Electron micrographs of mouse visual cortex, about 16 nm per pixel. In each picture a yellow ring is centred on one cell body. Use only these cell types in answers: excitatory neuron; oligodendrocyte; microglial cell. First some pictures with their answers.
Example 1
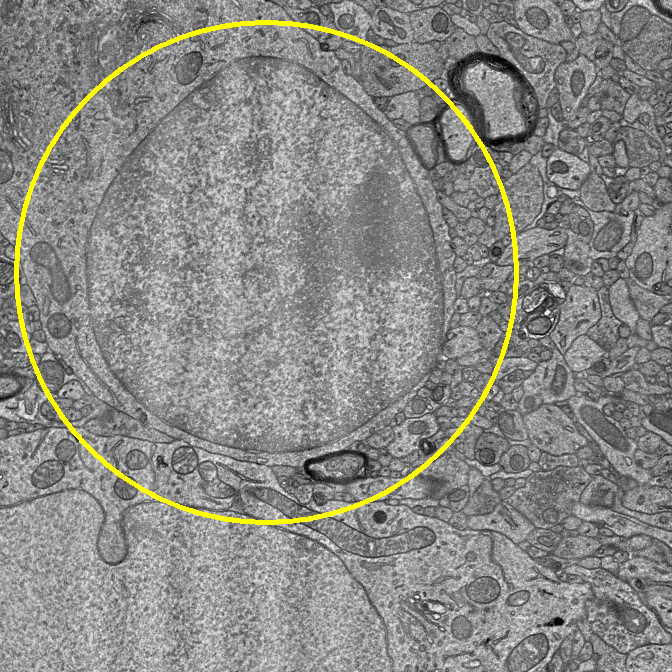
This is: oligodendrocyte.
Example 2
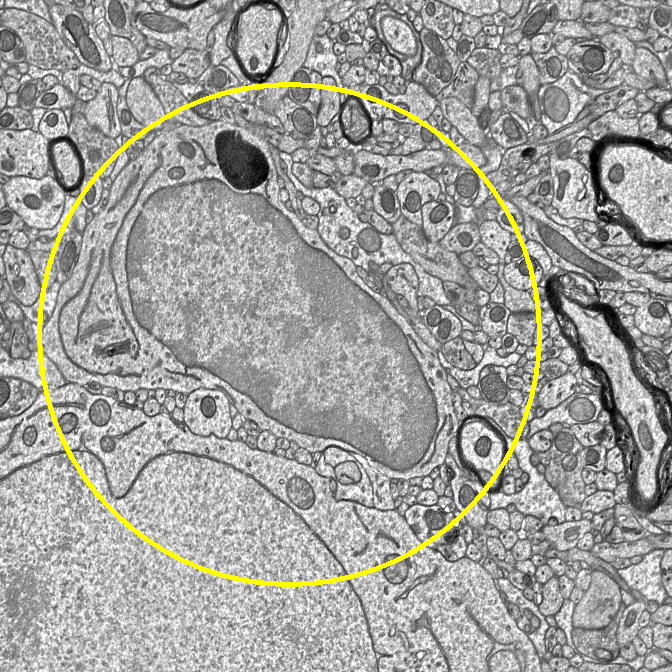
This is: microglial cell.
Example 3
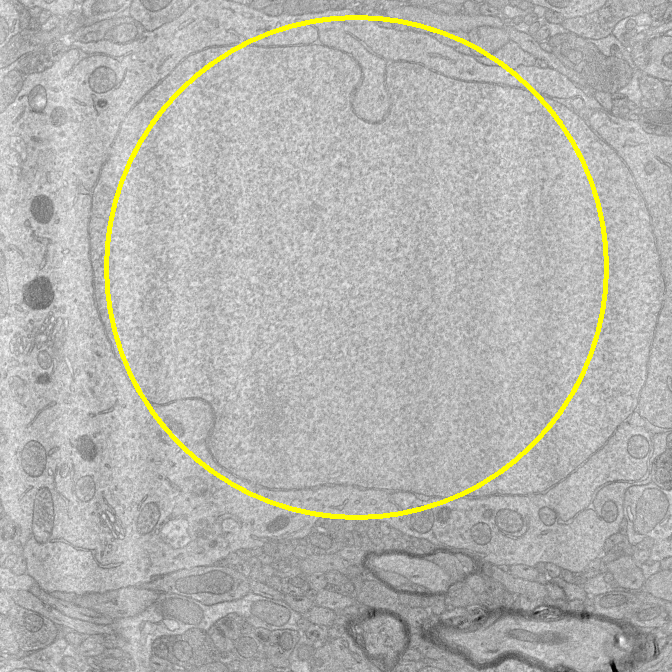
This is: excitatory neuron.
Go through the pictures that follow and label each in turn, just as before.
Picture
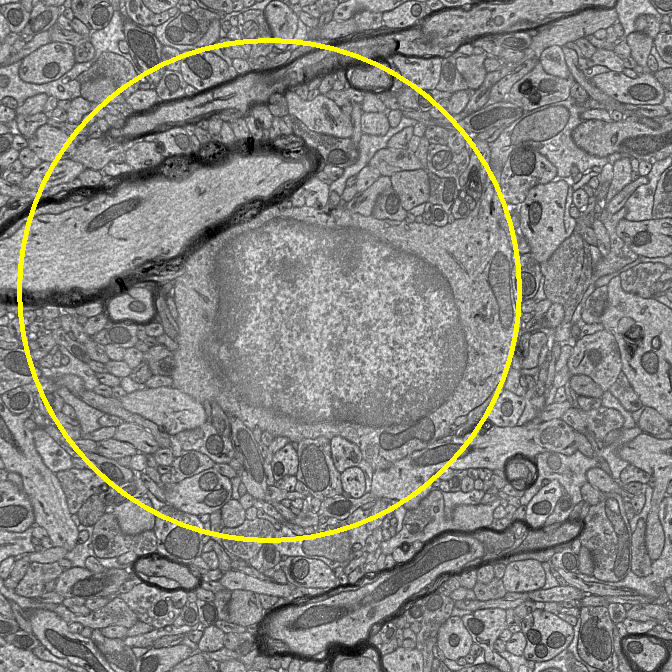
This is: oligodendrocyte.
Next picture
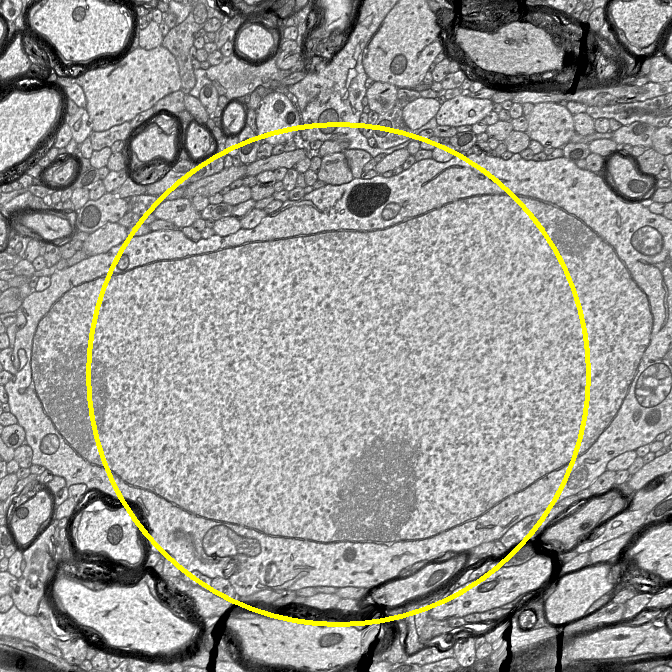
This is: excitatory neuron.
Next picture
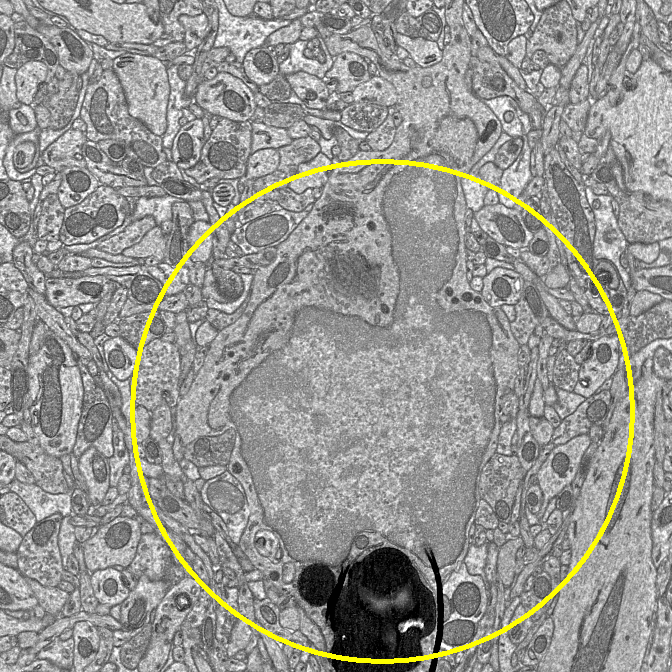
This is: microglial cell.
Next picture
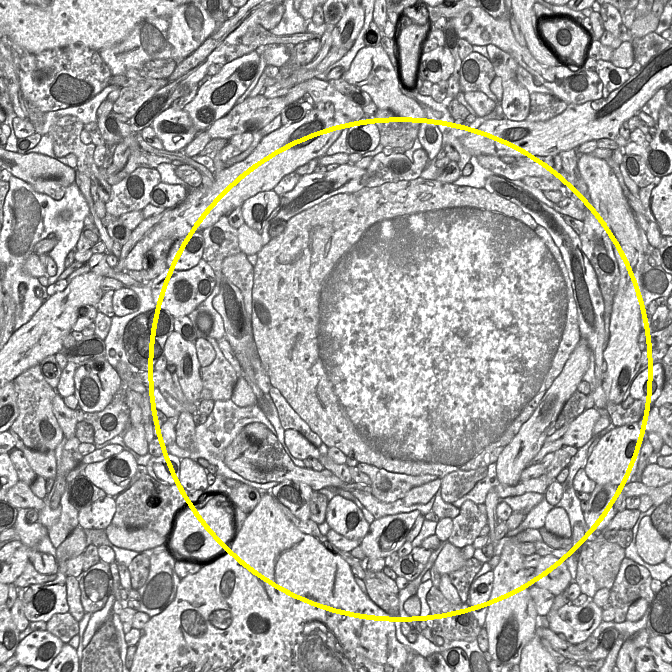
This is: oligodendrocyte.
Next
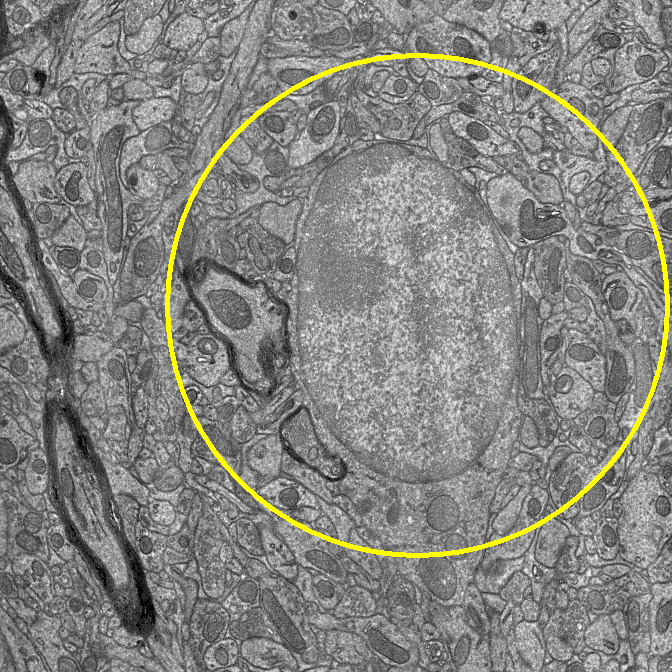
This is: oligodendrocyte.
